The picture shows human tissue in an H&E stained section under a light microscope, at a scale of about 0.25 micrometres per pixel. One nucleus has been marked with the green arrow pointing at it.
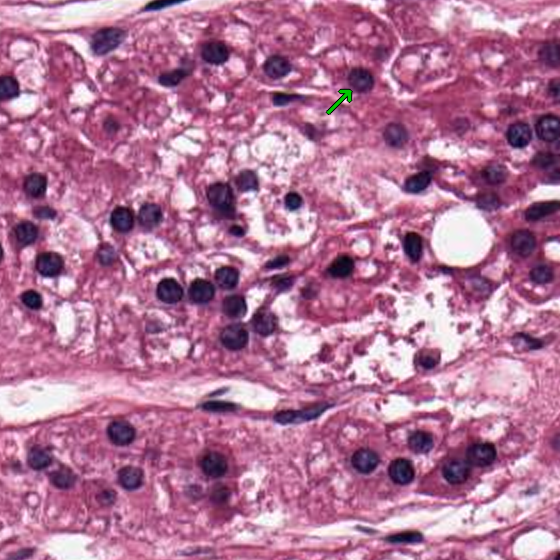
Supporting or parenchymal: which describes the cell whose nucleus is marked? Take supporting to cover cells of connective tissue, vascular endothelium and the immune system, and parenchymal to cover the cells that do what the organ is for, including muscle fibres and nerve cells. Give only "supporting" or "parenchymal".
parenchymal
